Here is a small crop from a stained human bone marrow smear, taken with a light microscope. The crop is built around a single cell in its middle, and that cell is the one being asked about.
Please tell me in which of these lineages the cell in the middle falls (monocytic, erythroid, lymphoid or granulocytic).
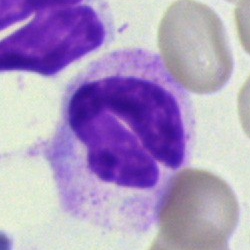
granulocytic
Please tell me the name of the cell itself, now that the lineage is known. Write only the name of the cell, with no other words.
segmented neutrophil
